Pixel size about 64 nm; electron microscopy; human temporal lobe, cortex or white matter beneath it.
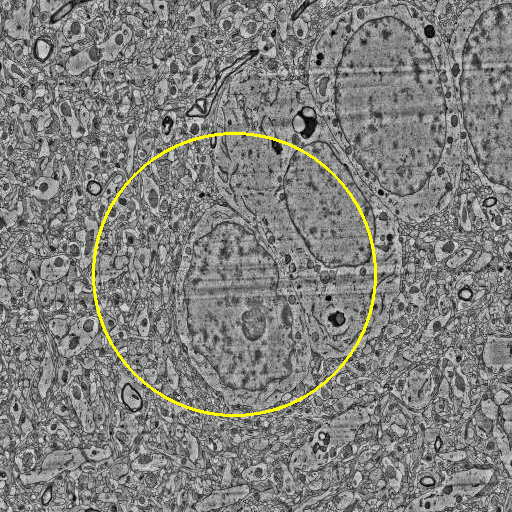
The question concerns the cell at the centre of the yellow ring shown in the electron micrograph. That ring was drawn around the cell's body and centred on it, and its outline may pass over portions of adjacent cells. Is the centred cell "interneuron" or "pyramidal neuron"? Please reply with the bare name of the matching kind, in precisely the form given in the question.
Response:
interneuron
